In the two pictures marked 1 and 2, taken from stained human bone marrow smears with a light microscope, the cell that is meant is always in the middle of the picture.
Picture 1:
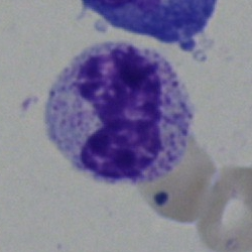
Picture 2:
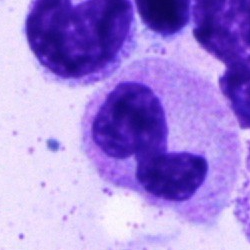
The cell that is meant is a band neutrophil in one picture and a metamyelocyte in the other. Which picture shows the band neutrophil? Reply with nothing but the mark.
2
